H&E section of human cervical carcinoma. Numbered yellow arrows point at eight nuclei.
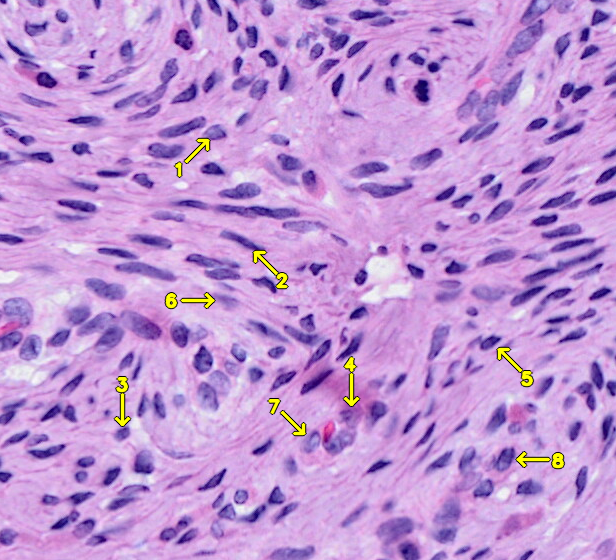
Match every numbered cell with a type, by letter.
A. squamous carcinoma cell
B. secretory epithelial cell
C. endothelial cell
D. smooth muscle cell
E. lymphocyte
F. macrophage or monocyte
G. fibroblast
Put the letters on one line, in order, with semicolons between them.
G; G; G; C; G; G; C; C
